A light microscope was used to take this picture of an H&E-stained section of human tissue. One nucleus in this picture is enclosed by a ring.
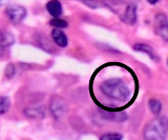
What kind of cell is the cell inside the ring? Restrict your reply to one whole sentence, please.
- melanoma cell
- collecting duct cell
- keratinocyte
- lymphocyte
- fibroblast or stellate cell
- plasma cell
The classification of the cell inside the ring is as a melanoma cell.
